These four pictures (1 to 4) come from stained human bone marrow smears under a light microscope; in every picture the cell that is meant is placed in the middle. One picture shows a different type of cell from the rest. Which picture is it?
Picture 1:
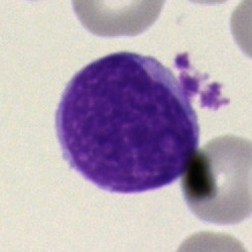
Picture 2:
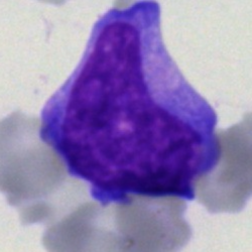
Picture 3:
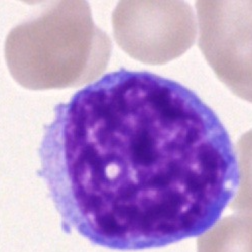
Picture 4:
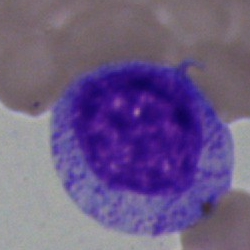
4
